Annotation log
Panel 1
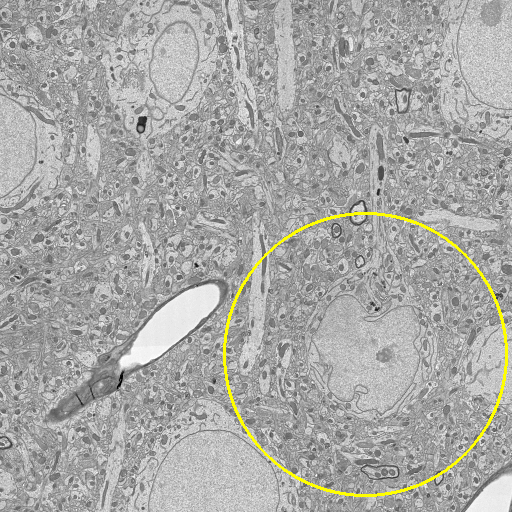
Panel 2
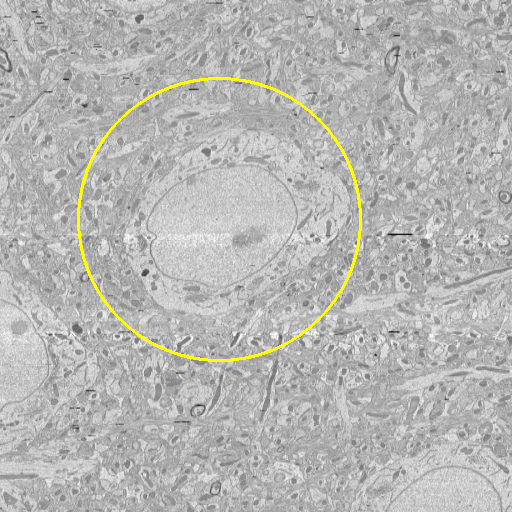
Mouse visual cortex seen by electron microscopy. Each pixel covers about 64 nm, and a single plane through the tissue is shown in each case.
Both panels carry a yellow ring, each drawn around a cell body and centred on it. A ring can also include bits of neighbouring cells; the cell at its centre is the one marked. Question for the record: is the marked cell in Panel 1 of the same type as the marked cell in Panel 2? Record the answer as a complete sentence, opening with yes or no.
No, the marked cells in Panel 1 and Panel 2 are of two types.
